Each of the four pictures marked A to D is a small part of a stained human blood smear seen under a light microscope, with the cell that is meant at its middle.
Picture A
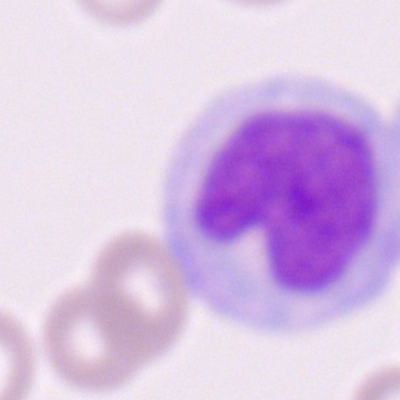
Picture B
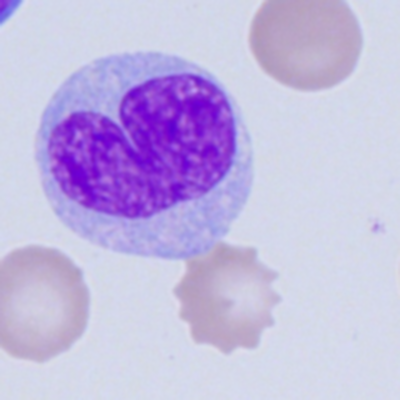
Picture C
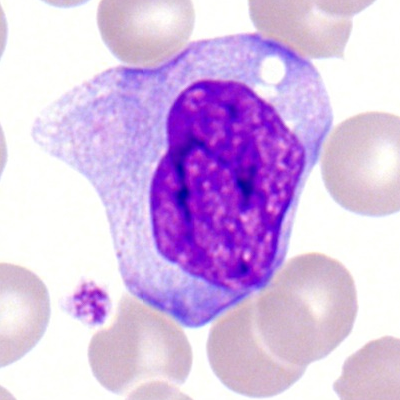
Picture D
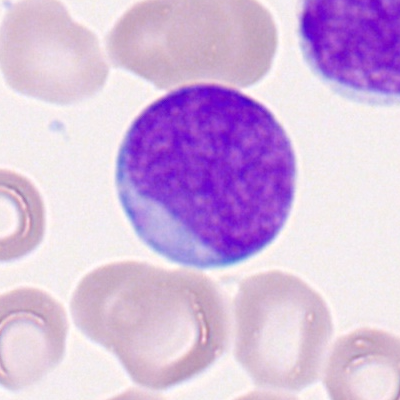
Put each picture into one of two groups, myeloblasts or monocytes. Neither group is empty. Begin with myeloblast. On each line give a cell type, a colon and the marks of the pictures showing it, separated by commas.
myeloblast: D
monocyte: A, B, C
